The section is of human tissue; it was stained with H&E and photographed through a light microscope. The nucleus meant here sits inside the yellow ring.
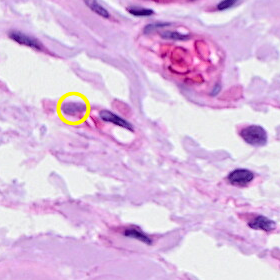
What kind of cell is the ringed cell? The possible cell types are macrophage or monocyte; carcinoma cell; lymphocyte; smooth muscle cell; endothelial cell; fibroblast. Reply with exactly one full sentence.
Cell type answer for this item: the ringed cell is an endothelial cell.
